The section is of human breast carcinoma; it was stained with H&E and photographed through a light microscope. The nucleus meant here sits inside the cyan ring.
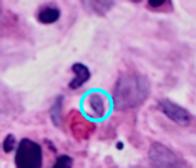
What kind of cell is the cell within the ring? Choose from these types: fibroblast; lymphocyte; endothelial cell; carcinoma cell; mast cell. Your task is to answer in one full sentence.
In the stained section, the cell within the ring is an endothelial cell.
